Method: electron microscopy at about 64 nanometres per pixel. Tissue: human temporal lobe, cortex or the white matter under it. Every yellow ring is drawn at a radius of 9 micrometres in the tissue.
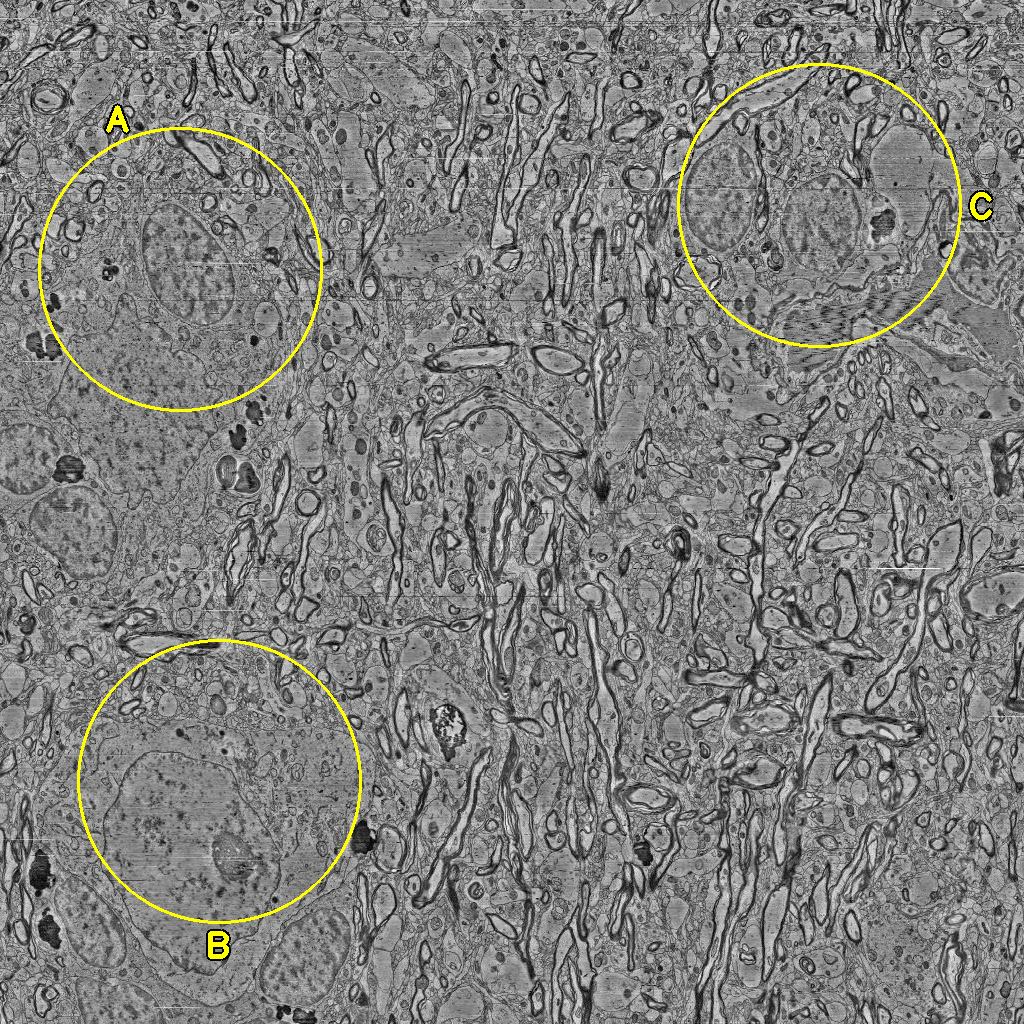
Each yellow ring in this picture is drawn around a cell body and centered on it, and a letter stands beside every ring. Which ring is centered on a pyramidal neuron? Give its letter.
B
